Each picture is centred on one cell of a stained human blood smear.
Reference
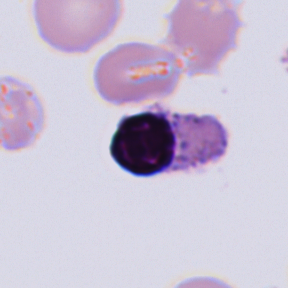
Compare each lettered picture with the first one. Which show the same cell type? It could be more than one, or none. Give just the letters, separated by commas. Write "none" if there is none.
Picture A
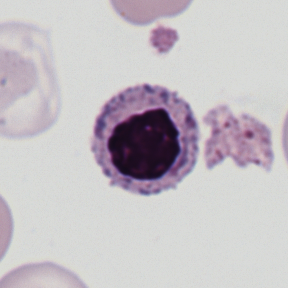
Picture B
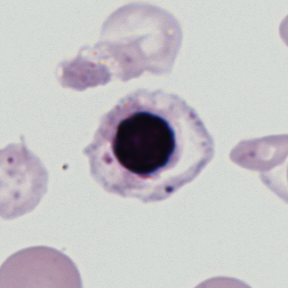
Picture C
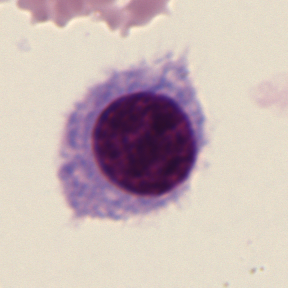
A, B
